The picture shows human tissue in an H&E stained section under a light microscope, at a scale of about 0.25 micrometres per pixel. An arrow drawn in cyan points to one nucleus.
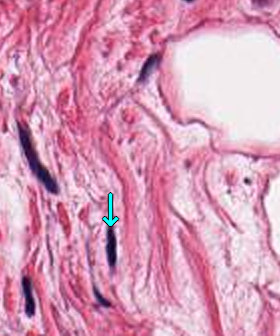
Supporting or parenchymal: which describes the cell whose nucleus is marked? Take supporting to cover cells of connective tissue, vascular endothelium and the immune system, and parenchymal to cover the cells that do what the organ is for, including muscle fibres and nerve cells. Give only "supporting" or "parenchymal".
supporting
